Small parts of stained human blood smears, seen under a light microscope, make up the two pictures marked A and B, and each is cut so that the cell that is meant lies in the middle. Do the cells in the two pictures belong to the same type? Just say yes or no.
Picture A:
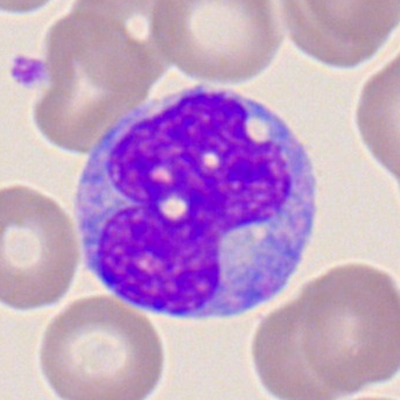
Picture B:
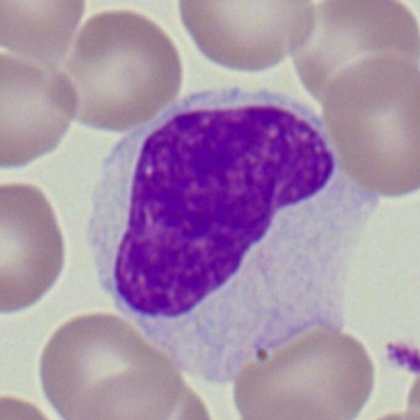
no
